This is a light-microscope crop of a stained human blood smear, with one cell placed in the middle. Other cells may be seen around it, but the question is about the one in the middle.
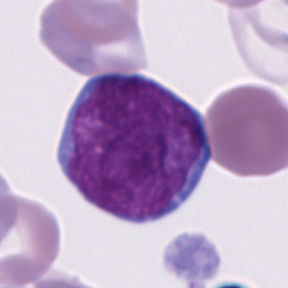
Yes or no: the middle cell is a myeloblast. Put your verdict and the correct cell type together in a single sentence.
Yes, as regards the cell in the middle, it is a myeloblast.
